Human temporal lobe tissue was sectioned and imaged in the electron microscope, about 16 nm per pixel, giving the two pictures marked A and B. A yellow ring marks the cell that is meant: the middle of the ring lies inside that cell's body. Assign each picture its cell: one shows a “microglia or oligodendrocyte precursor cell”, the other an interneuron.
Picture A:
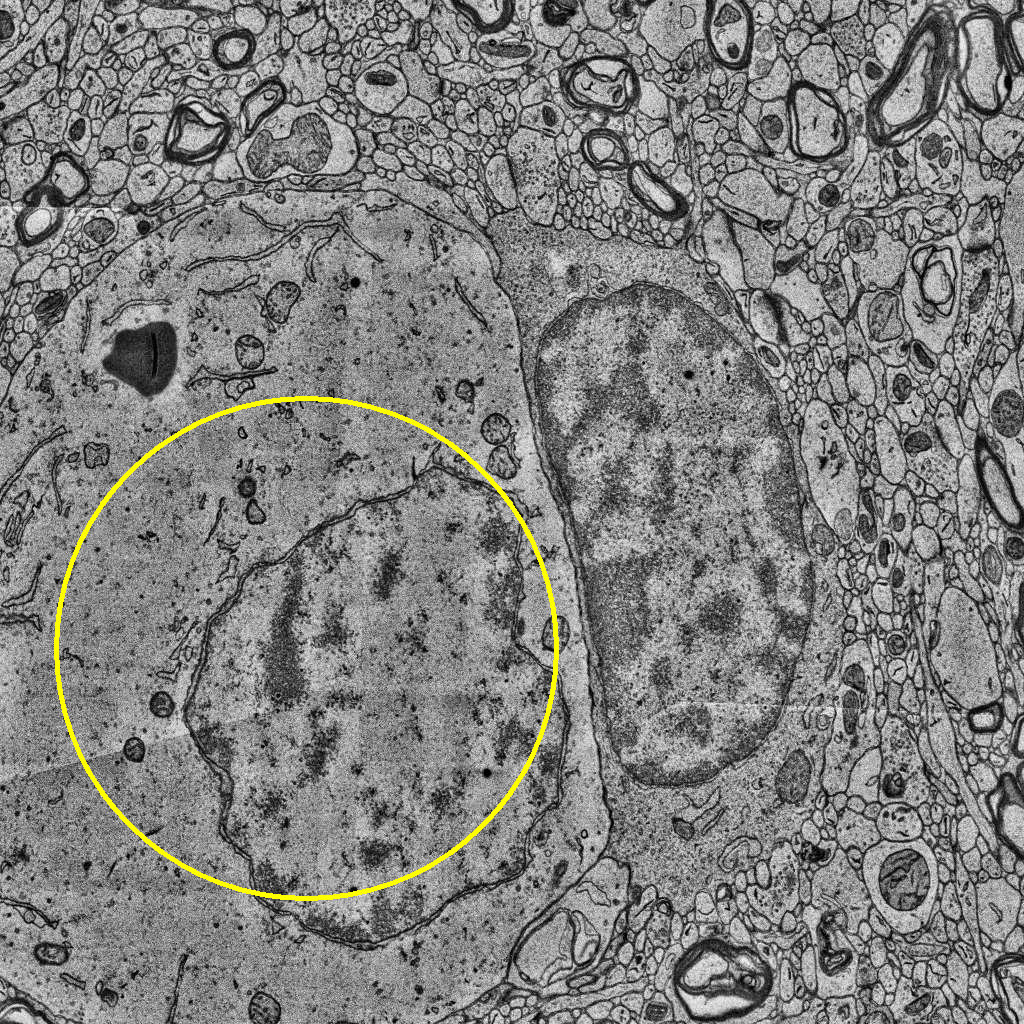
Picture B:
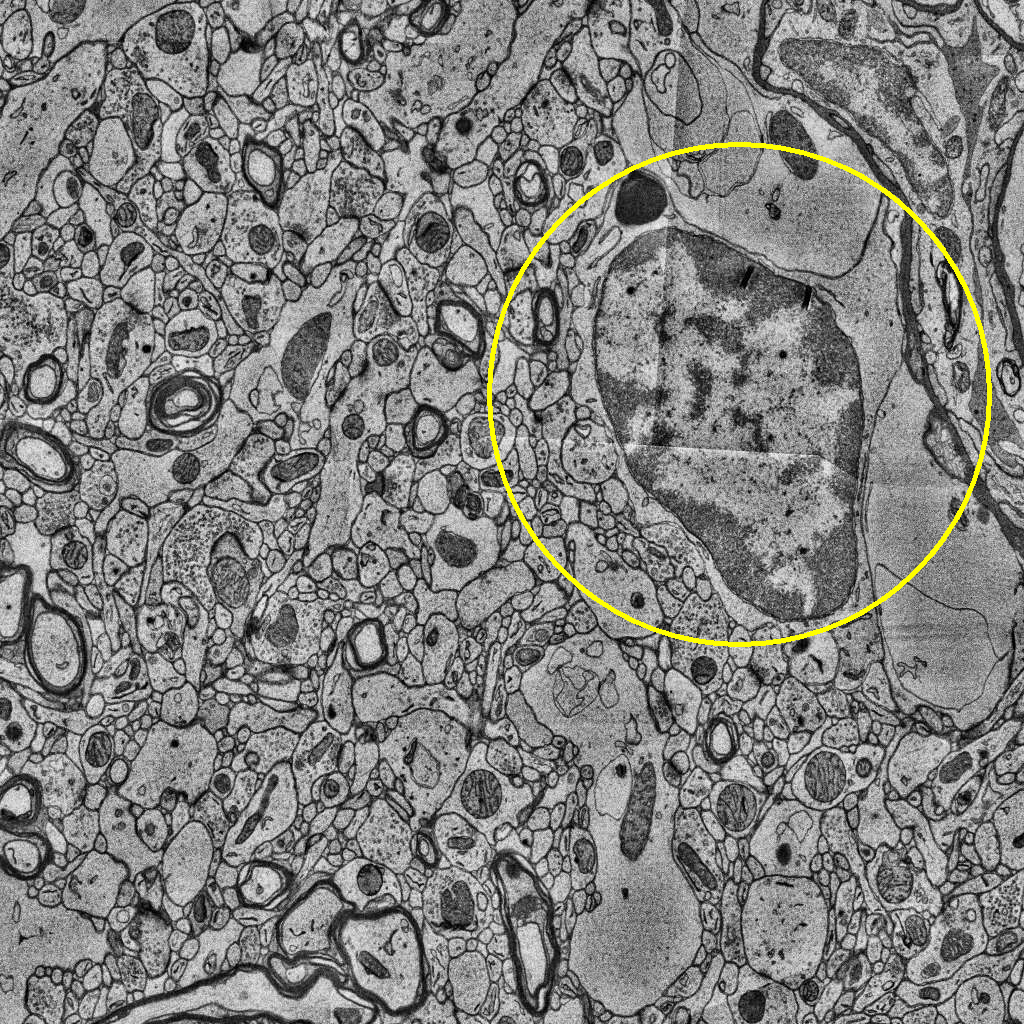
In picture A the cell is an interneuron; in picture B, a “microglia or oligodendrocyte precursor cell”.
